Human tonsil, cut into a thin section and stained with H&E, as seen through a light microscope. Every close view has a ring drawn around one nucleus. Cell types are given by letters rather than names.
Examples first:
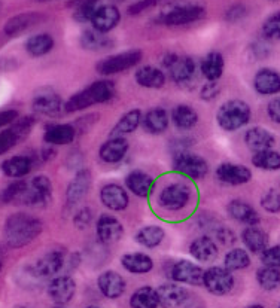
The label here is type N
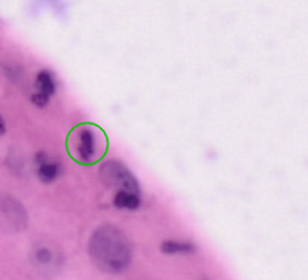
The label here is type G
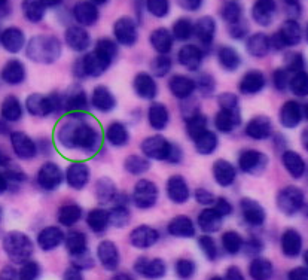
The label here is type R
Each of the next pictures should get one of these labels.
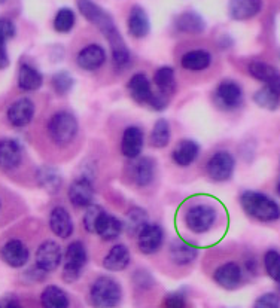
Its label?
type N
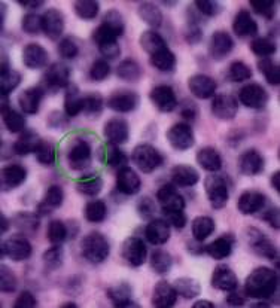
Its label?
type R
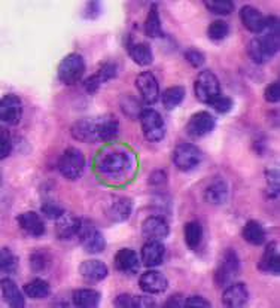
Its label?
type N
